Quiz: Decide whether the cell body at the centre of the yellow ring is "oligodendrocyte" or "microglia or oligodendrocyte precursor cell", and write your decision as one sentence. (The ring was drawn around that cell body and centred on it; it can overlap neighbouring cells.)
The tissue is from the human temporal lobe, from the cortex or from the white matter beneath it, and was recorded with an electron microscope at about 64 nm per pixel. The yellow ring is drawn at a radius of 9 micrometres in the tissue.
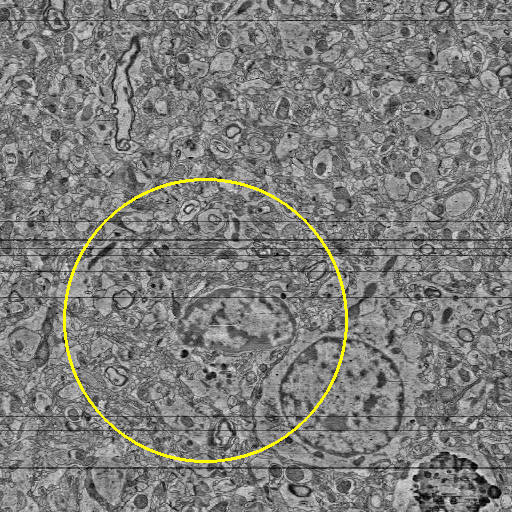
The cell the ring is centred on is a microglial cell or oligodendrocyte precursor cell.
